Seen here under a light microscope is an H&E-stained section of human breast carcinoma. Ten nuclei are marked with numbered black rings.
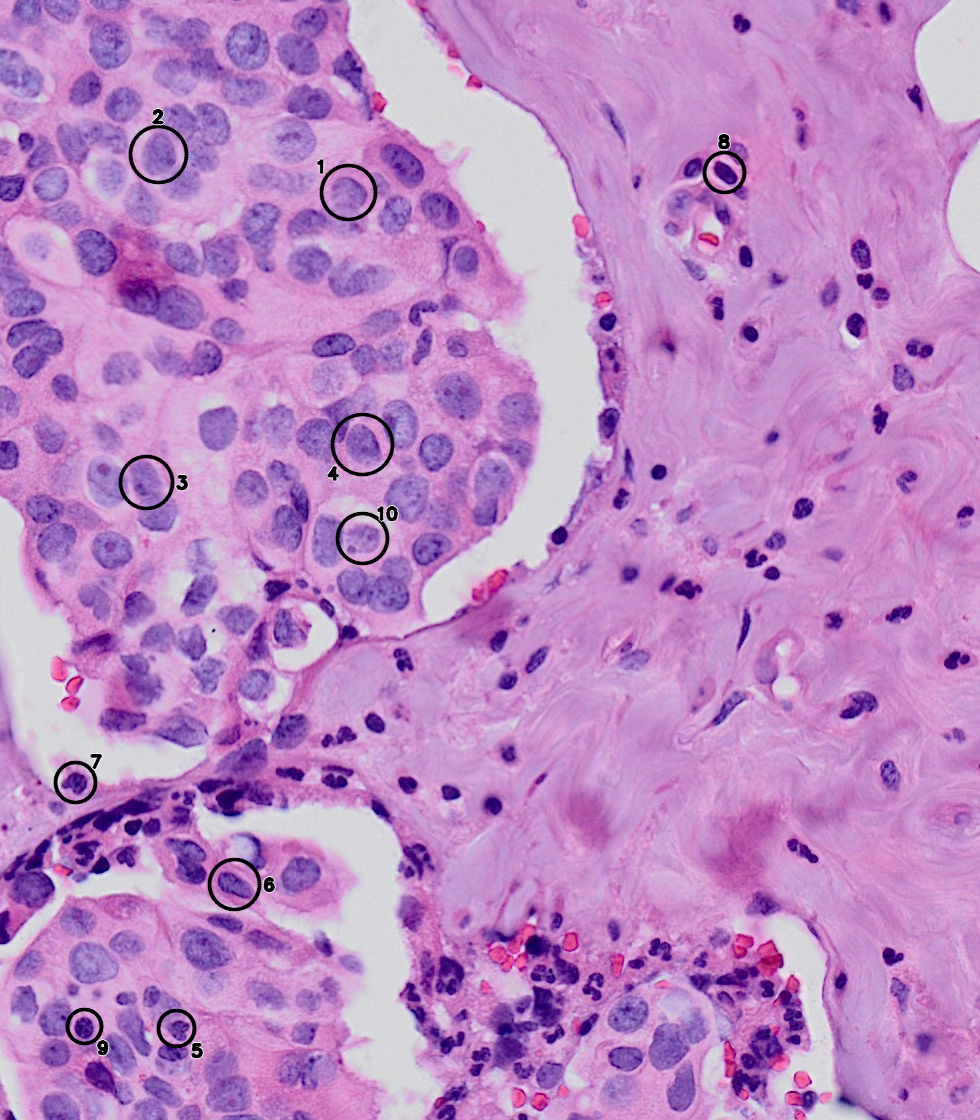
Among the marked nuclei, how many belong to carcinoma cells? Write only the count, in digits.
6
